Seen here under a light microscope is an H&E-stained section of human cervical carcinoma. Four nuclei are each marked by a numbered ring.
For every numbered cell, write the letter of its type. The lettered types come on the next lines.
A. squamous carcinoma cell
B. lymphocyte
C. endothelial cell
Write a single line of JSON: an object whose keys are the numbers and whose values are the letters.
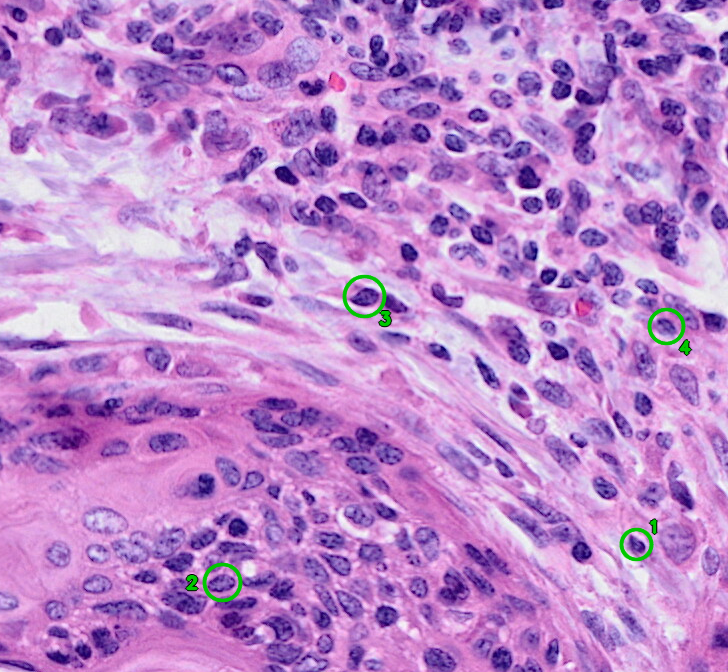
{"1": "B", "2": "A", "3": "B", "4": "B"}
